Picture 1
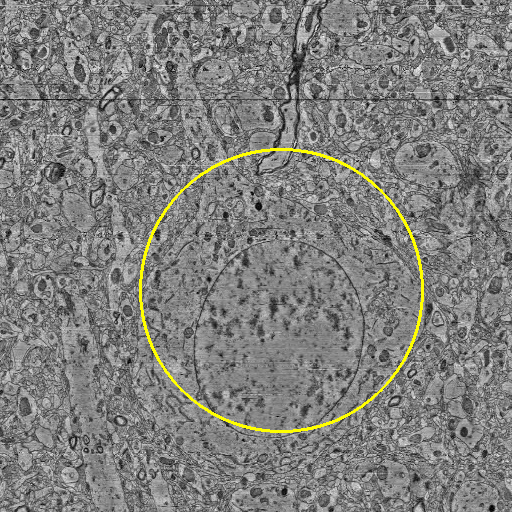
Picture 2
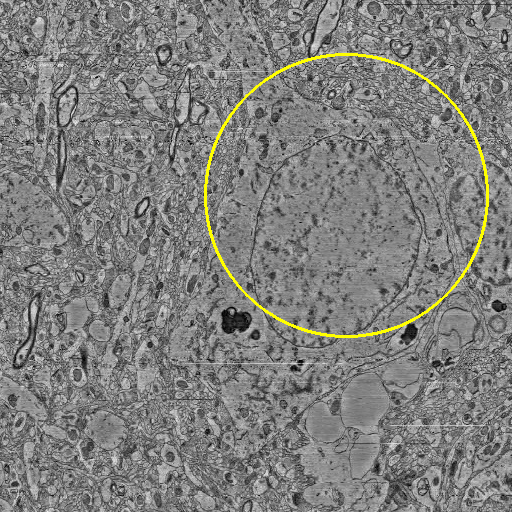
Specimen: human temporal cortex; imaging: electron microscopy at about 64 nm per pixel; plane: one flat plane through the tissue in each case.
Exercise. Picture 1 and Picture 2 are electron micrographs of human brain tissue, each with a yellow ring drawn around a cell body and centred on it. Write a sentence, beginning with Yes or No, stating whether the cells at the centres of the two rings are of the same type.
Yes, the cells at the centres of both rings are of the same type.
